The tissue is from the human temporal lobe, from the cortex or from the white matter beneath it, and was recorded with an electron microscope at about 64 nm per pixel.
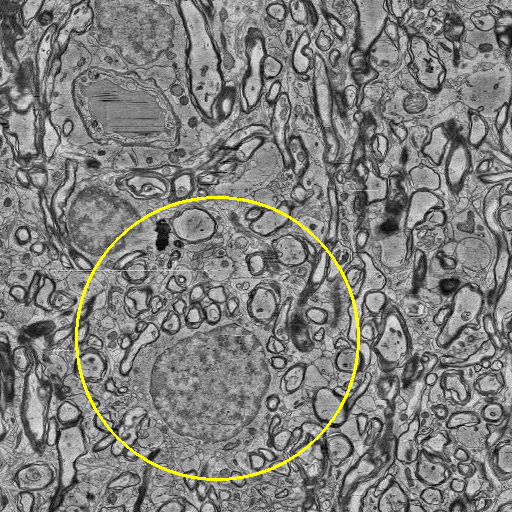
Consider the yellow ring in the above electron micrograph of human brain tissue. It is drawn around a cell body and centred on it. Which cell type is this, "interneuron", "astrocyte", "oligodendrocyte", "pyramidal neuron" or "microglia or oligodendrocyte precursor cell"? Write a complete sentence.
The cell in question is an oligodendrocyte.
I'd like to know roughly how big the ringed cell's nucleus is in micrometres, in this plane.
Roughly 8 micrometers across, in this plane.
